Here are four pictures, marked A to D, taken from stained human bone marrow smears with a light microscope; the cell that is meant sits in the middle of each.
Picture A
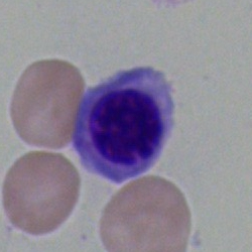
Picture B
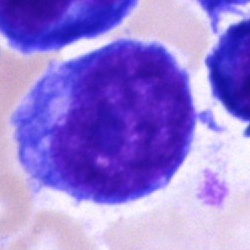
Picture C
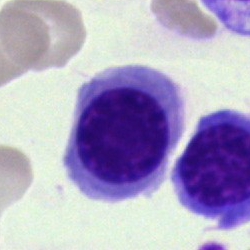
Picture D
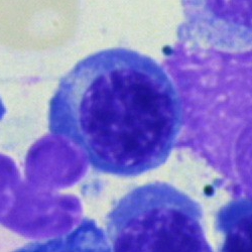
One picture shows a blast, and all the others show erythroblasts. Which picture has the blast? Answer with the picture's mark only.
B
